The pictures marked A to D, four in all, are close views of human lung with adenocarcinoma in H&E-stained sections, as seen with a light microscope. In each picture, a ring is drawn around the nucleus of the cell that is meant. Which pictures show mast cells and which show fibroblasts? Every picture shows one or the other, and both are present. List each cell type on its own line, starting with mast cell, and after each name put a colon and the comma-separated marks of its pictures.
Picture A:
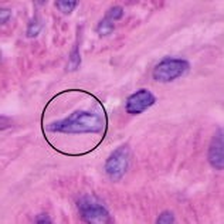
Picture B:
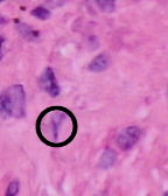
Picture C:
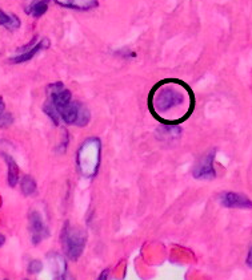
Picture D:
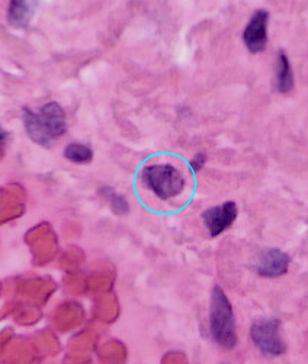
mast cell: C
fibroblast: A, B, D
